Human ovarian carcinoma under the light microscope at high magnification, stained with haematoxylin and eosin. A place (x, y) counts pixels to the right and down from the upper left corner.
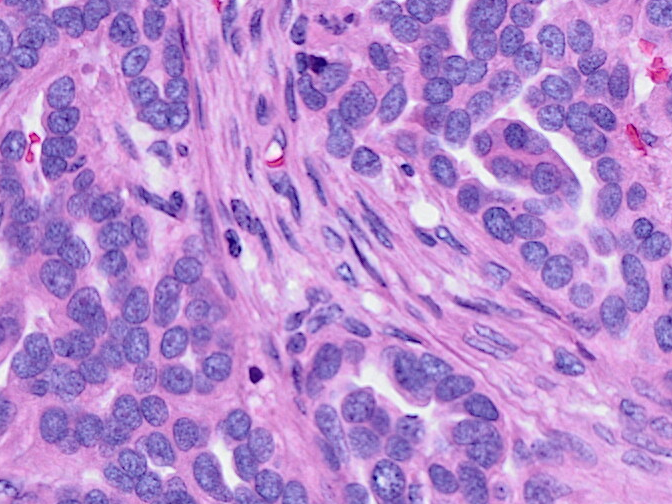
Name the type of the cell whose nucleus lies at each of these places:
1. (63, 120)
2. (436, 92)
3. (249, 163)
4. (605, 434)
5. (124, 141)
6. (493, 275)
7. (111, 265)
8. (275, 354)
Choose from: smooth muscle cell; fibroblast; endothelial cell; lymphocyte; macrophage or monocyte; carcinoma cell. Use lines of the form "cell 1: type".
cell 1: carcinoma cell
cell 2: carcinoma cell
cell 3: fibroblast
cell 4: fibroblast
cell 5: fibroblast
cell 6: fibroblast
cell 7: carcinoma cell
cell 8: fibroblast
